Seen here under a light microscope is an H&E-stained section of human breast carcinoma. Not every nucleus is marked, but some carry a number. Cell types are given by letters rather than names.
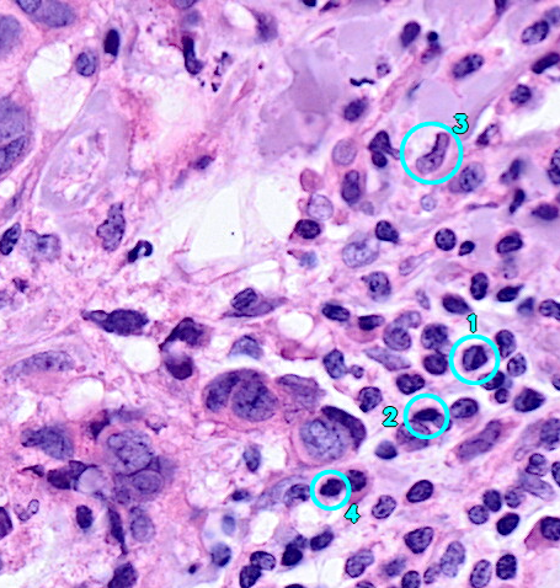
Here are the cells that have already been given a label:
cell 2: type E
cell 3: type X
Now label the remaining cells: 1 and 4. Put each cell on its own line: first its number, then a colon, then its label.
1: type E
4: type E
